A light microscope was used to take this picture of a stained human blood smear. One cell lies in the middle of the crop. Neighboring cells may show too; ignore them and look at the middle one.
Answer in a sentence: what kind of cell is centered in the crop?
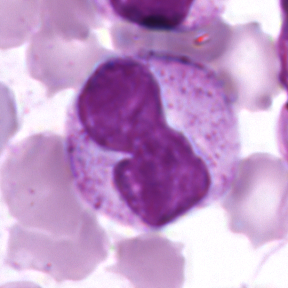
Occupying the centre of the crop is a band neutrophil.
